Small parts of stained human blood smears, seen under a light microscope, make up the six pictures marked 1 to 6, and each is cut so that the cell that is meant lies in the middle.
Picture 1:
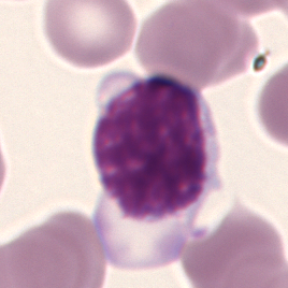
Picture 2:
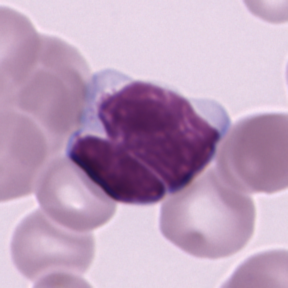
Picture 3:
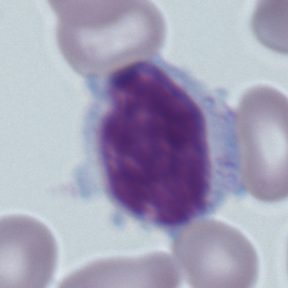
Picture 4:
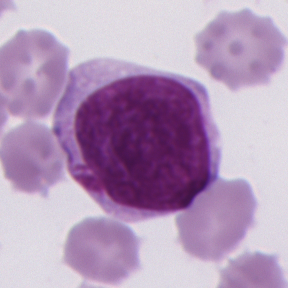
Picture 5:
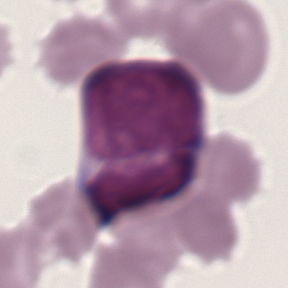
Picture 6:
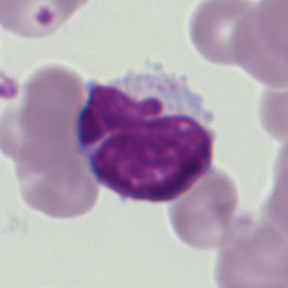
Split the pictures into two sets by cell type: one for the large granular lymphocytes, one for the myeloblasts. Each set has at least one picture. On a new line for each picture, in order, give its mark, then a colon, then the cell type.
1: large granular lymphocyte
2: large granular lymphocyte
3: large granular lymphocyte
4: myeloblast
5: myeloblast
6: large granular lymphocyte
